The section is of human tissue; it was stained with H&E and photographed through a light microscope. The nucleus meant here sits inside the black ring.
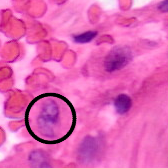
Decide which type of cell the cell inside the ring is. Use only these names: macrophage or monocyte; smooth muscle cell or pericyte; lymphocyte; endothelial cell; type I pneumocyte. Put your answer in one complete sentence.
By cell type, the cell inside the ring is a macrophage or monocyte.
